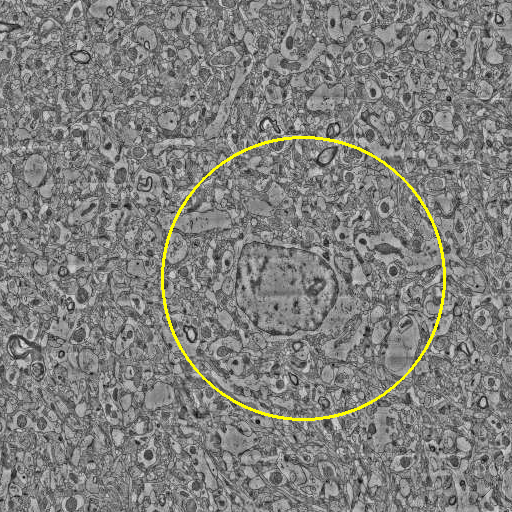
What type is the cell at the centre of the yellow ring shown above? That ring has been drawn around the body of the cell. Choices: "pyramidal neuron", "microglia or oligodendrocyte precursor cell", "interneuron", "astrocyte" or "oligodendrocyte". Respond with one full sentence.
My answer is that a microglial cell or oligodendrocyte precursor cell lies at the centre of the yellow ring above.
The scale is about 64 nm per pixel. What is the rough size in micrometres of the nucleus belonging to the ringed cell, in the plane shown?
About 6 micrometres across in this plane, for the nucleus.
